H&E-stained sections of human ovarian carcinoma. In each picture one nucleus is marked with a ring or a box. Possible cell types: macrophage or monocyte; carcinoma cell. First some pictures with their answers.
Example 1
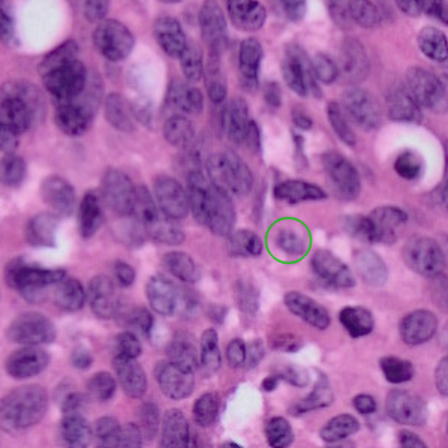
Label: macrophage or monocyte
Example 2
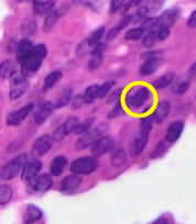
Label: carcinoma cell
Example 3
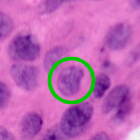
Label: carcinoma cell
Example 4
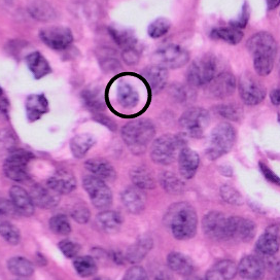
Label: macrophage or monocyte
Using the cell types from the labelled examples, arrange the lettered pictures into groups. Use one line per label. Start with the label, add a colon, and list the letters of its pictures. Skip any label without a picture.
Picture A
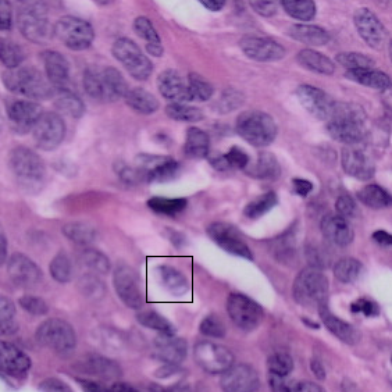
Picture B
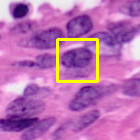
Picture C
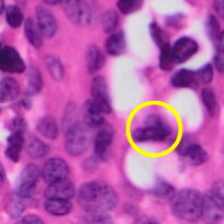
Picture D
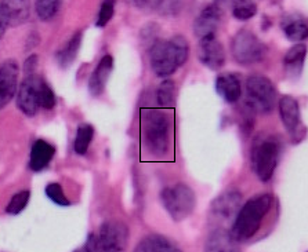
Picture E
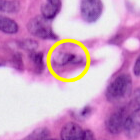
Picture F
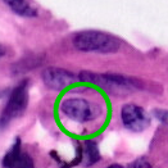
macrophage or monocyte: A, E, F
carcinoma cell: B, C, D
